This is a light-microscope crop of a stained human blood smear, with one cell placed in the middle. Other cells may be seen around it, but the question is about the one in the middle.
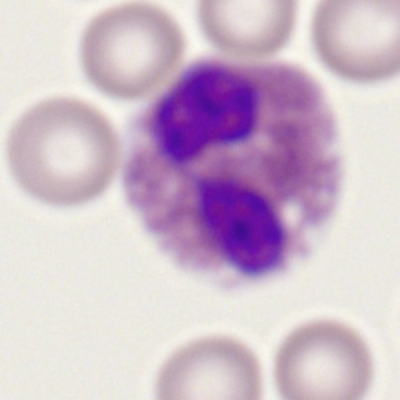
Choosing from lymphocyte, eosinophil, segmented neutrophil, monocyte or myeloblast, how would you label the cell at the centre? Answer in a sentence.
In the centre of this crop there is an eosinophil.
